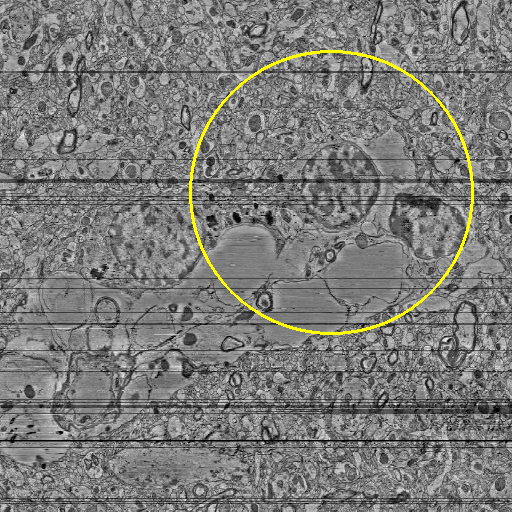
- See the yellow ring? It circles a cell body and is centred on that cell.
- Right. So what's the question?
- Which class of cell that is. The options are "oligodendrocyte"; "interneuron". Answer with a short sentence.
The centre of the ring holds an oligodendrocyte.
